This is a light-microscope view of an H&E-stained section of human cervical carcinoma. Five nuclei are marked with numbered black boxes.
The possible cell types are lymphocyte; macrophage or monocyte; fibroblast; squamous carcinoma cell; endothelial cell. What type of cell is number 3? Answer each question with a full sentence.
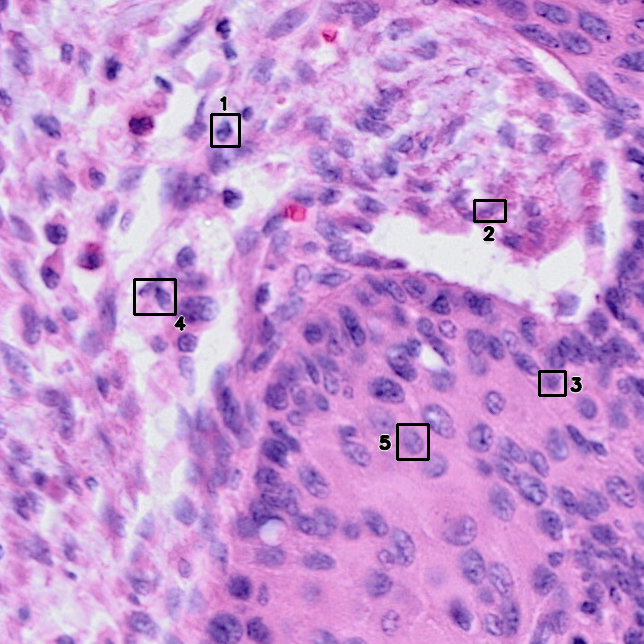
The correct label for cell 3 is a squamous carcinoma cell.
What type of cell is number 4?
The cell that goes by number 4 is a macrophage or monocyte.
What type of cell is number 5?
The cell indicated by marker 5 is a squamous carcinoma cell in this section.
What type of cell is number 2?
The cell given label 2 is a fibroblast.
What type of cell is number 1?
Here, the cell given the number 1 is a lymphocyte.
